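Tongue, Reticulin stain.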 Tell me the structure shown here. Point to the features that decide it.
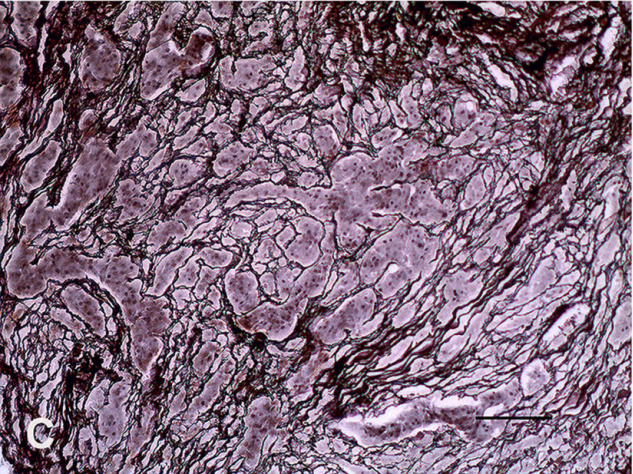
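Pale cell groups form rounded clusters. Dark fibre networks run around each cluster, separating them. On this evidence: "Zellballen" appearance.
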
